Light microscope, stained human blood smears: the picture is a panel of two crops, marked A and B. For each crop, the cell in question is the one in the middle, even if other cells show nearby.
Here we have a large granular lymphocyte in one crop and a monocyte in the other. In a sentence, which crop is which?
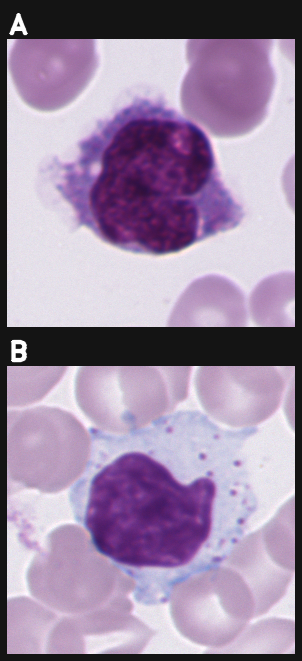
Crop A depicts a monocyte, and a large granular lymphocyte is depicted in crop B.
